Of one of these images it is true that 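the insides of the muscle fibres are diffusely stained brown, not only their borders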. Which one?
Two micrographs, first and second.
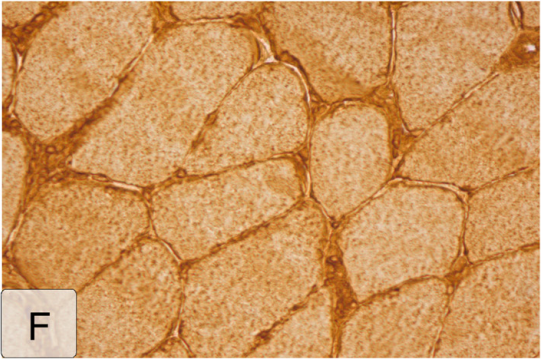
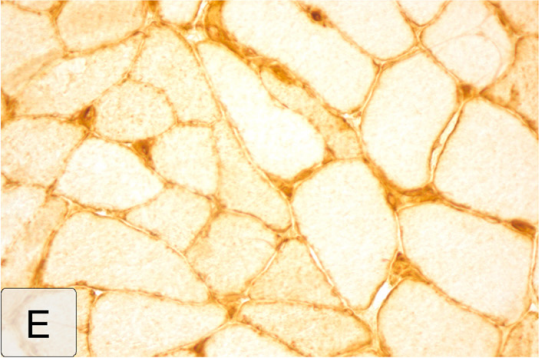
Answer: the first image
